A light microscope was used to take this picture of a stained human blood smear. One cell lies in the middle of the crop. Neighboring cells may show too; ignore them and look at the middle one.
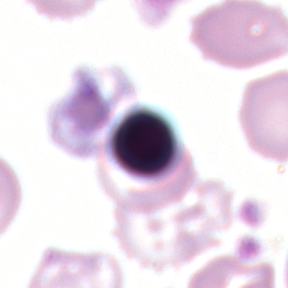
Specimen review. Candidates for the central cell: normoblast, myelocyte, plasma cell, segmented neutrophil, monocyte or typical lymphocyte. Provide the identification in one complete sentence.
In the crop, the cell of interest at the centre is a normoblast.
